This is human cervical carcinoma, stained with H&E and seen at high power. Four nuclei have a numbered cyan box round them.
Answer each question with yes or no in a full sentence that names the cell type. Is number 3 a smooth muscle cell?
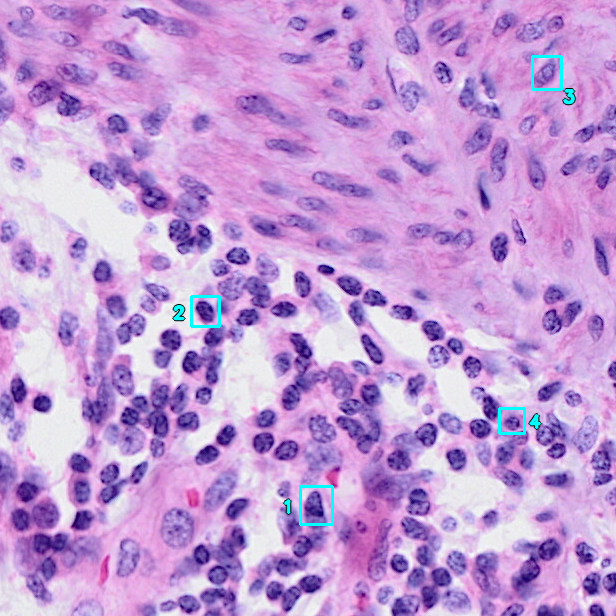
Yes, number 3 marks a cell that is a smooth muscle cell.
